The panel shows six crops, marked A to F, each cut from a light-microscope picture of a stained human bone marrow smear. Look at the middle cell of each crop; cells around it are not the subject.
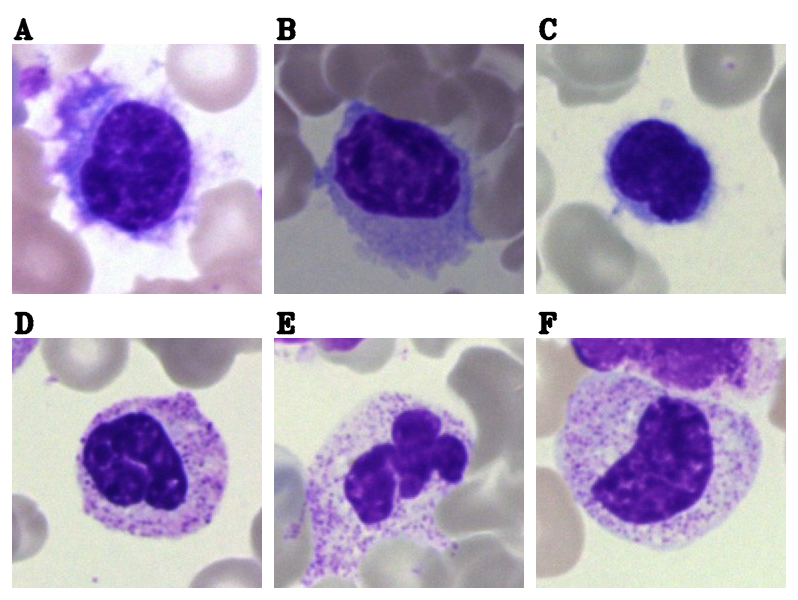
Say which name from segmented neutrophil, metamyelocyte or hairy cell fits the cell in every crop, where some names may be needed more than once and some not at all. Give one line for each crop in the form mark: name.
A: hairy cell
B: hairy cell
C: hairy cell
D: segmented neutrophil
E: segmented neutrophil
F: metamyelocyte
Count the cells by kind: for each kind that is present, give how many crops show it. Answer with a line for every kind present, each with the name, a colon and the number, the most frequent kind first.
hairy cell: 3
segmented neutrophil: 2
metamyelocyte: 1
